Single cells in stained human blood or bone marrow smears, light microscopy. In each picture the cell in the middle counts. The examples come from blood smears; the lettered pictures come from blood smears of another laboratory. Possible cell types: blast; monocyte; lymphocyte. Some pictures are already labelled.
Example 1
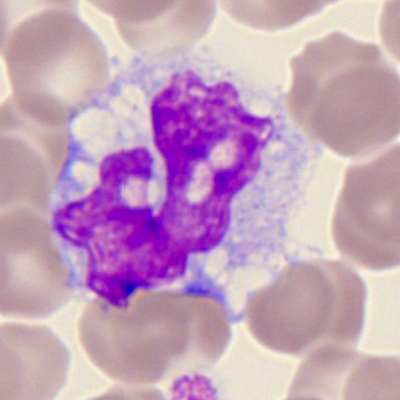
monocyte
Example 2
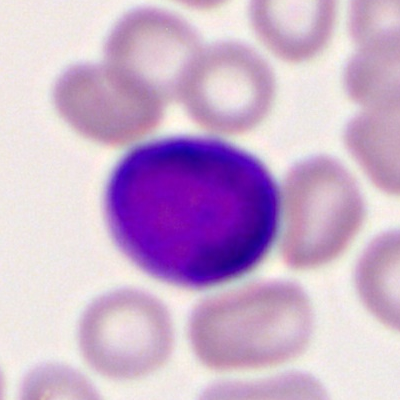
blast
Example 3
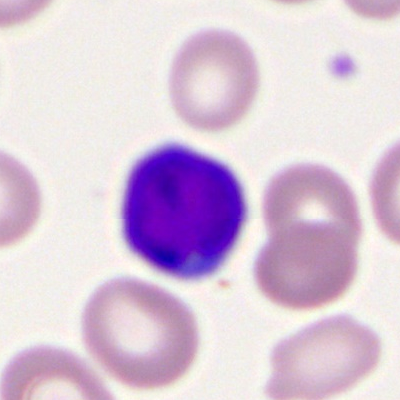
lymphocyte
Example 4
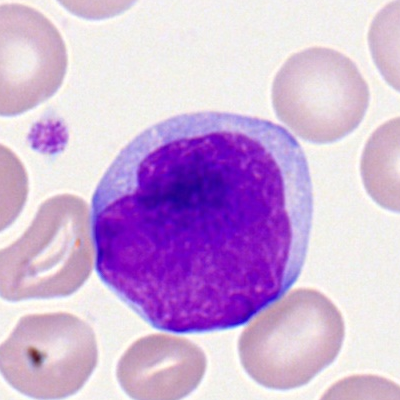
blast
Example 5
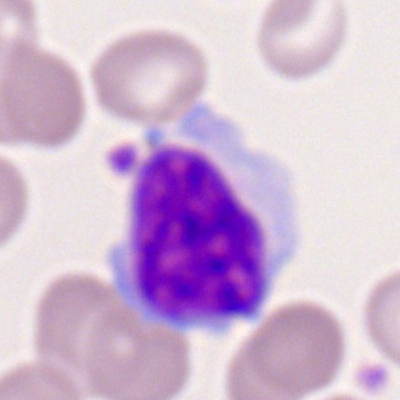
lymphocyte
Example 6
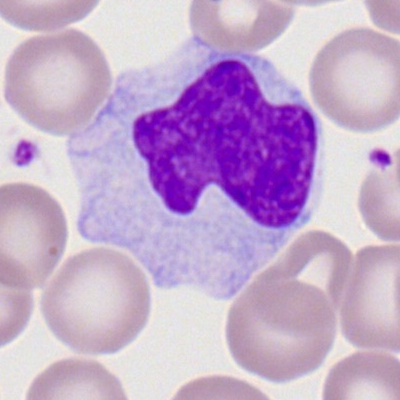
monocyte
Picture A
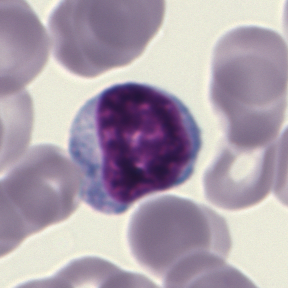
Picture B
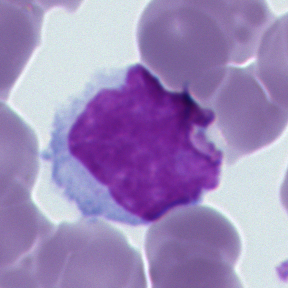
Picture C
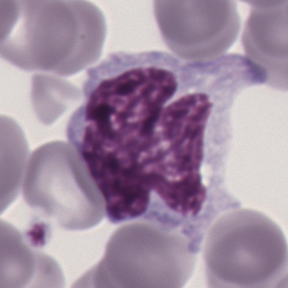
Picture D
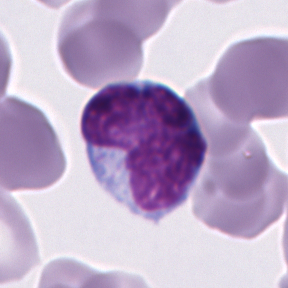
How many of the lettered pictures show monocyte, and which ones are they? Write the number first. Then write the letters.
1, namely C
